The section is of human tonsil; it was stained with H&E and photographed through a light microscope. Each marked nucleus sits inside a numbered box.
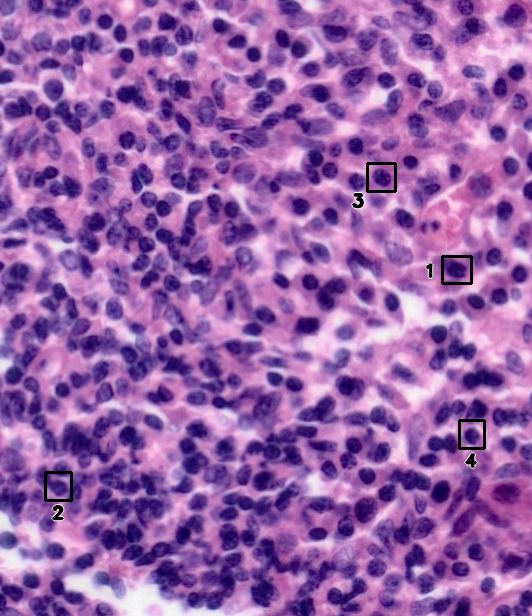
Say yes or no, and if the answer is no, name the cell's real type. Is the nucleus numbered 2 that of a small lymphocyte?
Yes.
